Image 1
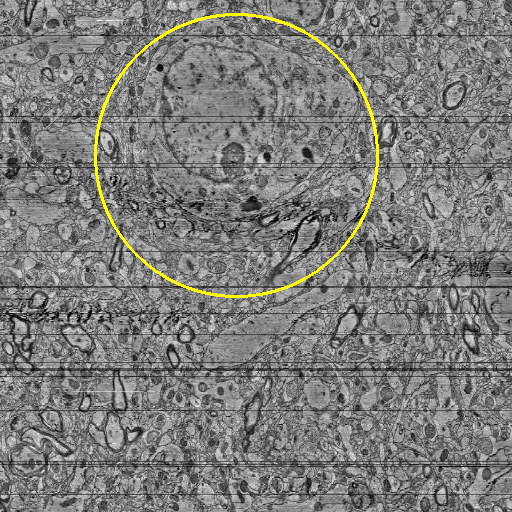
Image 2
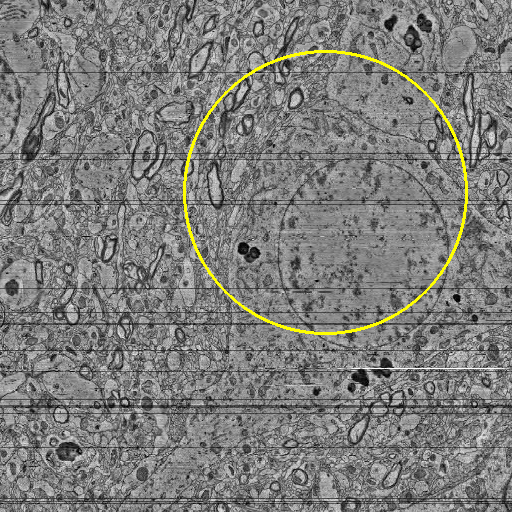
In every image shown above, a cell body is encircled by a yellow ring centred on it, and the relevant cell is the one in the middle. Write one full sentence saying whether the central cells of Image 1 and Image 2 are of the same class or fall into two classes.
The cell at the ring's centre in Image 1 and its counterpart in Image 2 are of the same class.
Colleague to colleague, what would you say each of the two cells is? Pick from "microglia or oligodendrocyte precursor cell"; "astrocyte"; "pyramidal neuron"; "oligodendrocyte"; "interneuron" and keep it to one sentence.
Each of the two cells is a pyramidal neuron.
